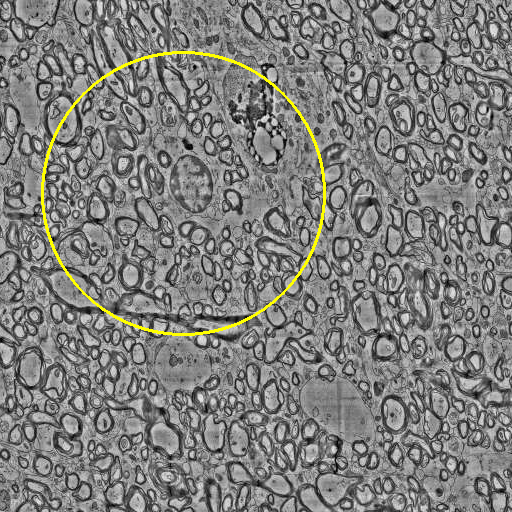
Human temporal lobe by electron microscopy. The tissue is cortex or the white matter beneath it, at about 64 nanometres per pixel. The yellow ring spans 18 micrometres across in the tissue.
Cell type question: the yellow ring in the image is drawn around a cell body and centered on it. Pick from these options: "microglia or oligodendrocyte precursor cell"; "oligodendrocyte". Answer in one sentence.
The ringed cell at the center is a microglial cell or oligodendrocyte precursor cell.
